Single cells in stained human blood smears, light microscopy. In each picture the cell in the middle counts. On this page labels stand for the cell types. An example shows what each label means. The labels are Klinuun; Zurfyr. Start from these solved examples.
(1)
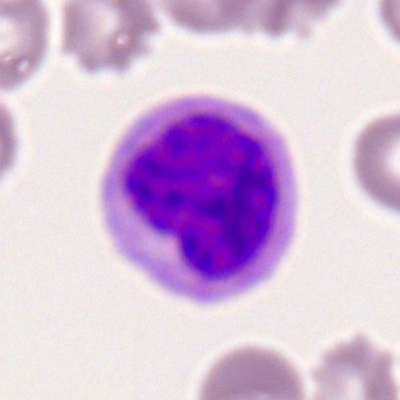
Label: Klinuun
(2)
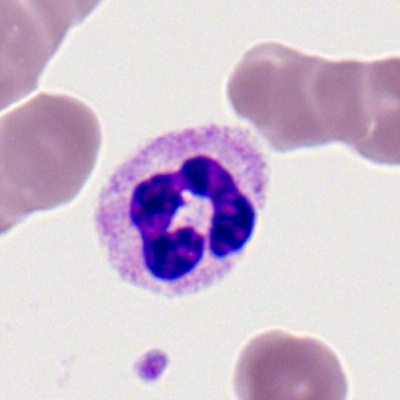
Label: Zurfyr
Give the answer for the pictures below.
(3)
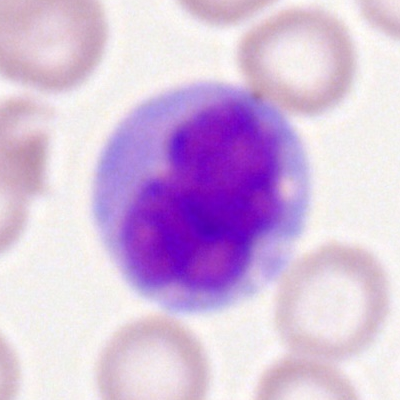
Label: Klinuun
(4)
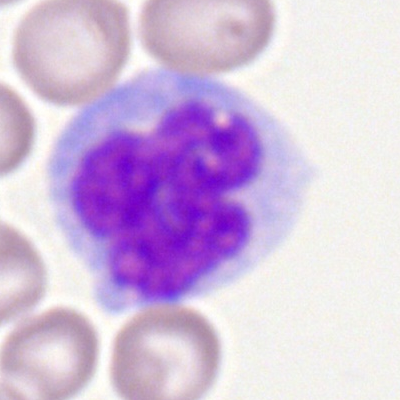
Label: Klinuun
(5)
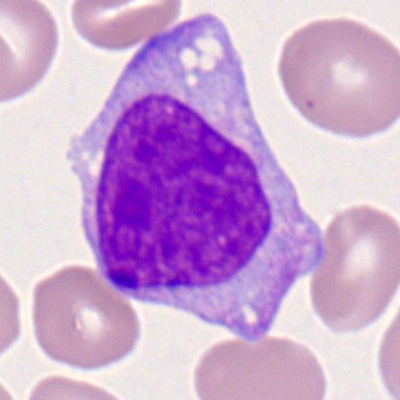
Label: Klinuun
